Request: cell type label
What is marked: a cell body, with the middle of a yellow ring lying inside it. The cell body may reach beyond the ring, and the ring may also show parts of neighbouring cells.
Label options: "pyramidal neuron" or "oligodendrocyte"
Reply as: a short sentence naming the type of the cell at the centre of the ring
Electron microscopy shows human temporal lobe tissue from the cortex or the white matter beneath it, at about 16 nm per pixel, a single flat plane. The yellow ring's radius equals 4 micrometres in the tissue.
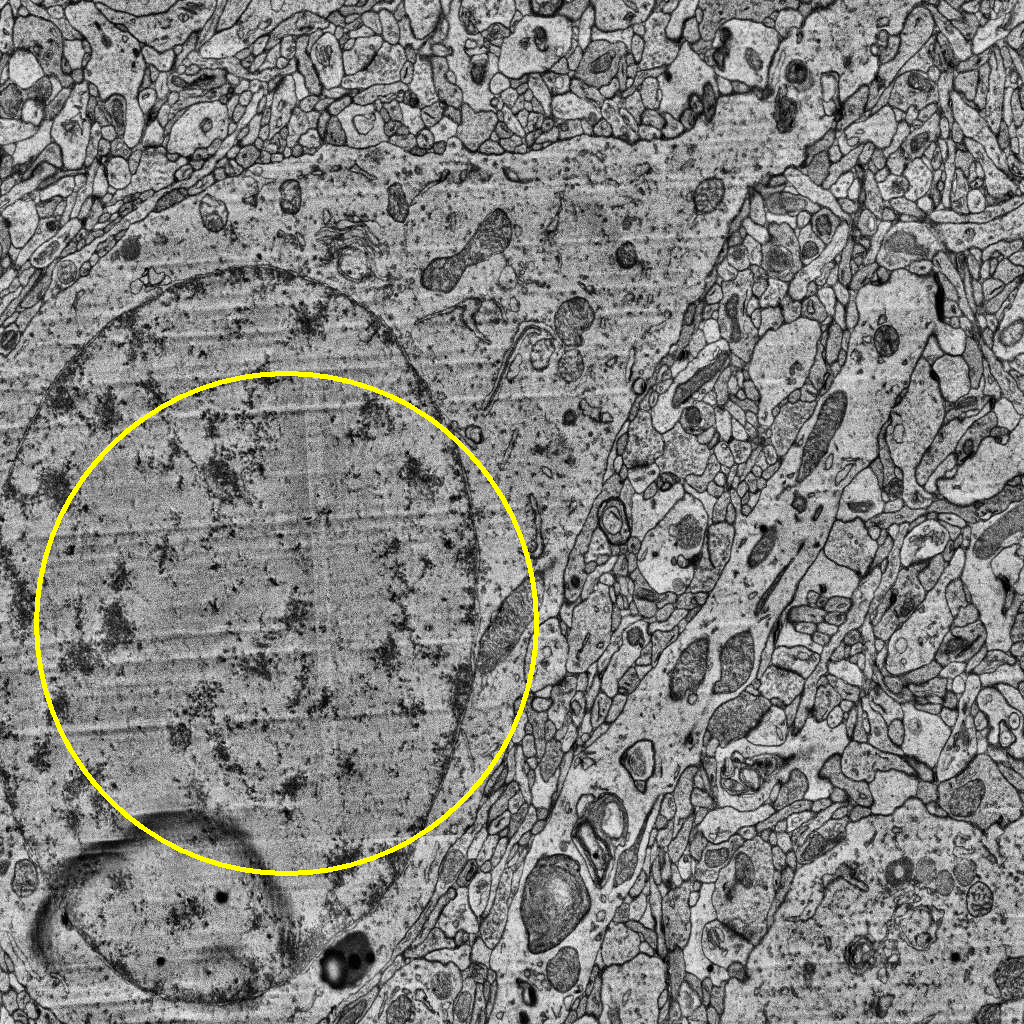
The marked cell body is that of a pyramidal neuron.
